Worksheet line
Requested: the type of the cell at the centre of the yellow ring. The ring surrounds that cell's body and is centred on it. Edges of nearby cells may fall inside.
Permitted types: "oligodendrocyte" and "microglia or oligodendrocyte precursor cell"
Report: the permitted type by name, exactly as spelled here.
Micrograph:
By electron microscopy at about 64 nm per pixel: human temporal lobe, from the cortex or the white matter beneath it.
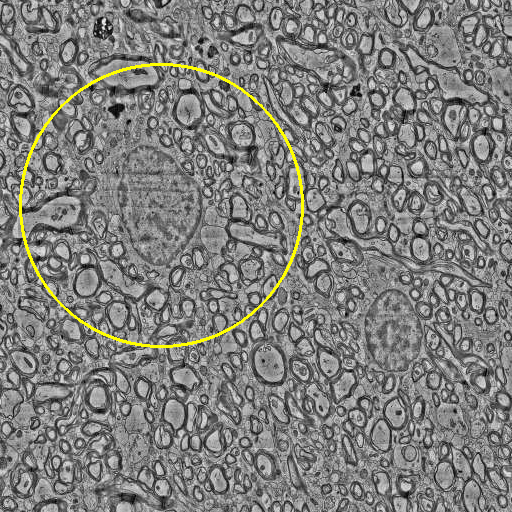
oligodendrocyte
